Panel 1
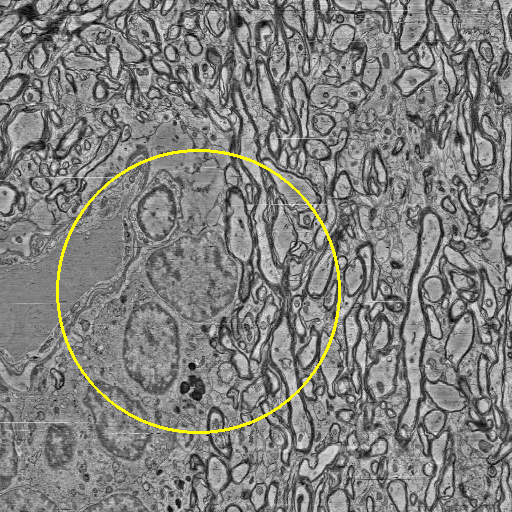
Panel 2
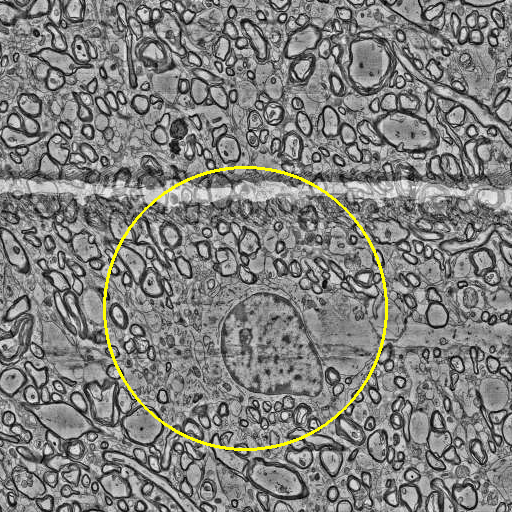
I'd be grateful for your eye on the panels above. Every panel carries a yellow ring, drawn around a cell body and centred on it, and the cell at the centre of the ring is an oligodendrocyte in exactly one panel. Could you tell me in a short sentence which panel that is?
Panel 1 is the one with it at the centre of the ring.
